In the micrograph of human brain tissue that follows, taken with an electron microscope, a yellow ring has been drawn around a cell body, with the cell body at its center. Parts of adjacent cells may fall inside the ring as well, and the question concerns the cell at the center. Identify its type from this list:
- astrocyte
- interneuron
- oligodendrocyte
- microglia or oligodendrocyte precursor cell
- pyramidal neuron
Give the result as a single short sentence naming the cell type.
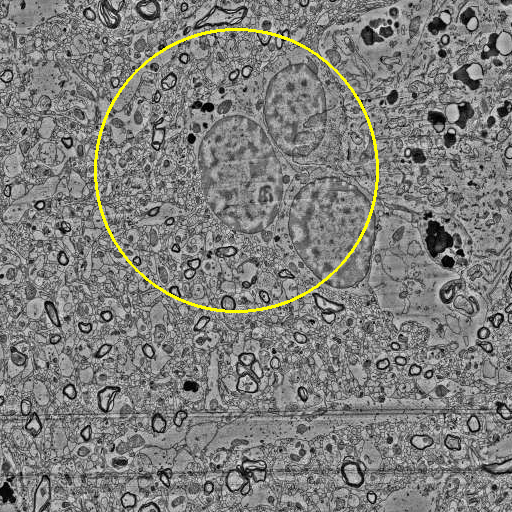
The ring is centered on an oligodendrocyte.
